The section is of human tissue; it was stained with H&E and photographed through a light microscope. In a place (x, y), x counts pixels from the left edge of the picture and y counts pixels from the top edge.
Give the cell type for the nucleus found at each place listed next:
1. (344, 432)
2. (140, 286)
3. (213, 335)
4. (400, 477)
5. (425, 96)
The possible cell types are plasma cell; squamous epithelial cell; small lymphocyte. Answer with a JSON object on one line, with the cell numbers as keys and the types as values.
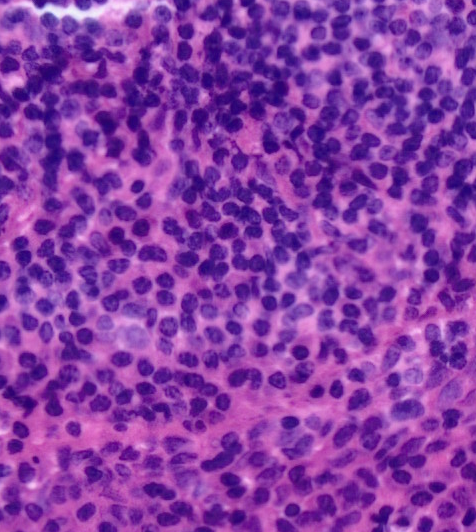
{"1": "squamous epithelial cell", "2": "plasma cell", "3": "plasma cell", "4": "plasma cell", "5": "small lymphocyte"}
